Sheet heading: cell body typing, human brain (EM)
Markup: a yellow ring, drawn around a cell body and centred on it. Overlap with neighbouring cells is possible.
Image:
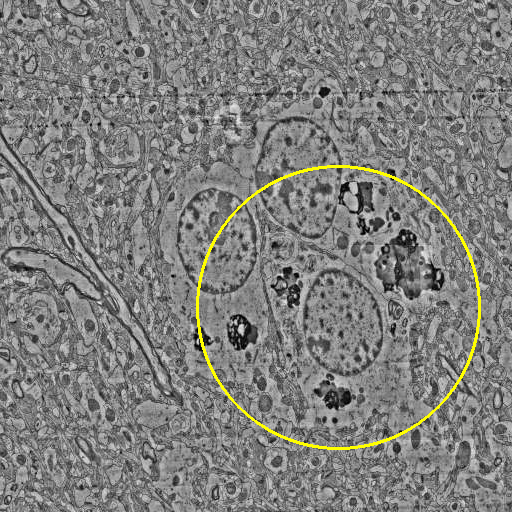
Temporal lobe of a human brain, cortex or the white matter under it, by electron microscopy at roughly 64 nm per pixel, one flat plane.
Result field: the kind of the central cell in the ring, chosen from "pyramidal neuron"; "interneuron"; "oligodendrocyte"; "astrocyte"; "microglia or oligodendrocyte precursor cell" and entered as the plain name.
astrocyte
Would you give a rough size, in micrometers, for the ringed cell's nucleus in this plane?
In this plane the nucleus measures roughly 7 by 5 micrometres.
